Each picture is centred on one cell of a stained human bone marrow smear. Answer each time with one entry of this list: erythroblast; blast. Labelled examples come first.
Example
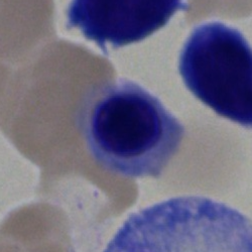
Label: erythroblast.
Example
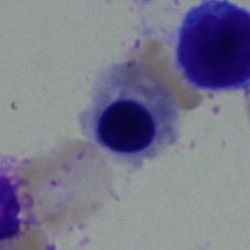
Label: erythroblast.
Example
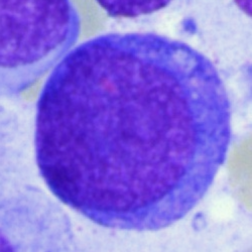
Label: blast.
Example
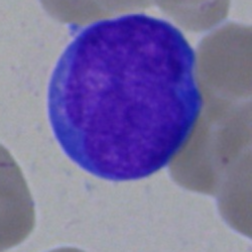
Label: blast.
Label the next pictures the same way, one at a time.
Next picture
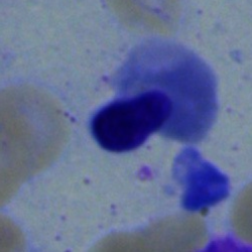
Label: erythroblast.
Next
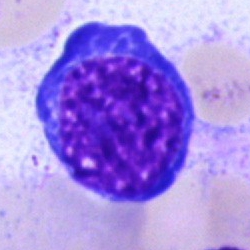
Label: erythroblast.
